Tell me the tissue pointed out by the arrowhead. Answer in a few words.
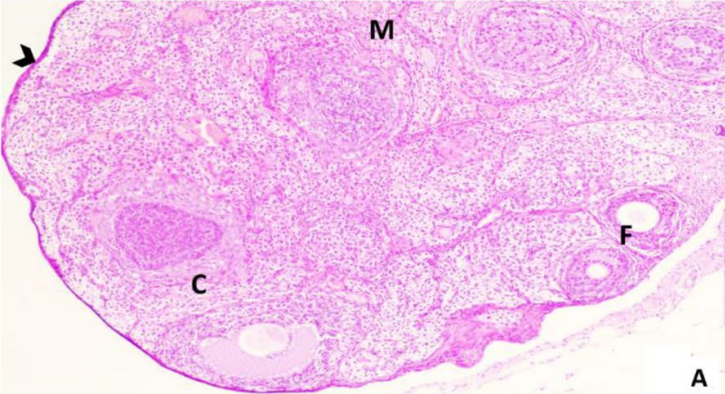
Germinal epithelium.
